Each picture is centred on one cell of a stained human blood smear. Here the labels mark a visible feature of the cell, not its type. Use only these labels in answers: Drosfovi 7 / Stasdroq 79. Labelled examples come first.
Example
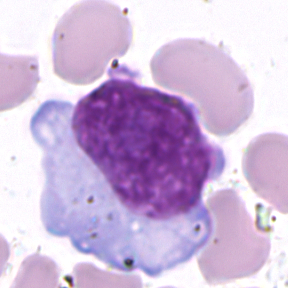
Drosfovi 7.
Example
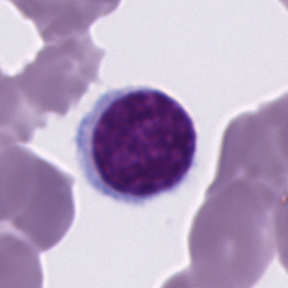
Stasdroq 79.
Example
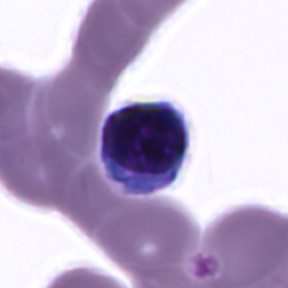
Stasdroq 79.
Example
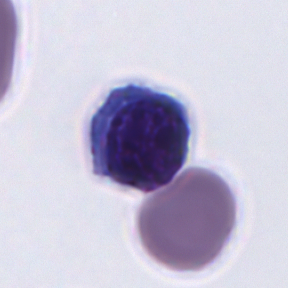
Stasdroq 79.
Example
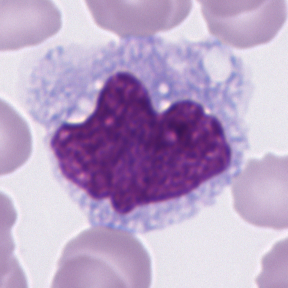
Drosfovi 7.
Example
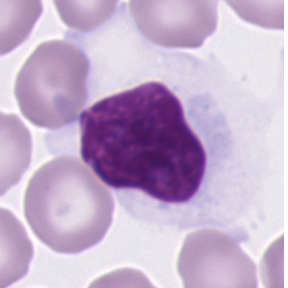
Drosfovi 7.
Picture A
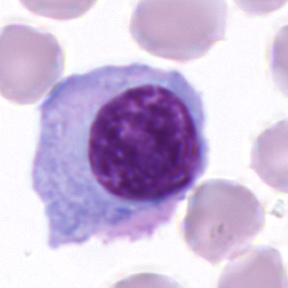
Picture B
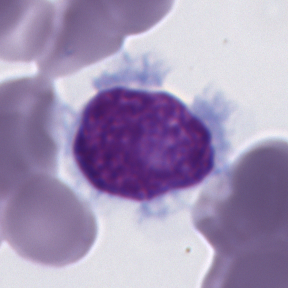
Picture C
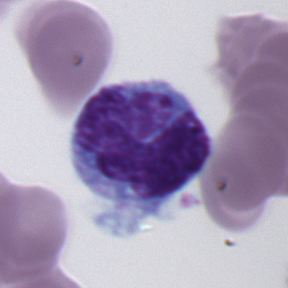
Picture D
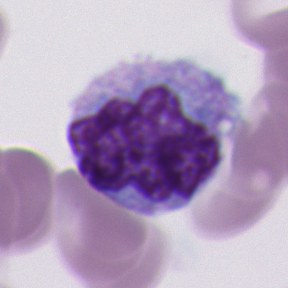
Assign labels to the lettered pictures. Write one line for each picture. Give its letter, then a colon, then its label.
A: Drosfovi 7.
B: Stasdroq 79.
C: Stasdroq 79.
D: Stasdroq 79.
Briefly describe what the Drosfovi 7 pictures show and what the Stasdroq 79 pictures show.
Seen in Drosfovi 7: abundant cytoplasm; seen in Stasdroq 79: scant cytoplasm.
